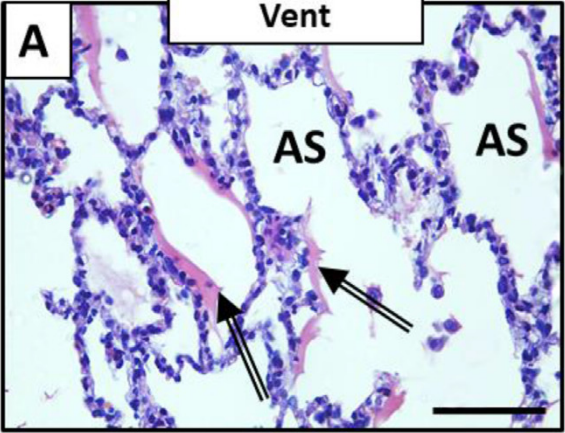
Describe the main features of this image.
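This is lung parenchyma with open alveolar spaces bounded by thin septa lined by cells with small round purple nuclei. Along several alveolar walls lie smooth, glassy pink bands without cells, hugging the septal surface like a membrane. The air spaces themselves are largely clear, without blood or cellular exudate.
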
